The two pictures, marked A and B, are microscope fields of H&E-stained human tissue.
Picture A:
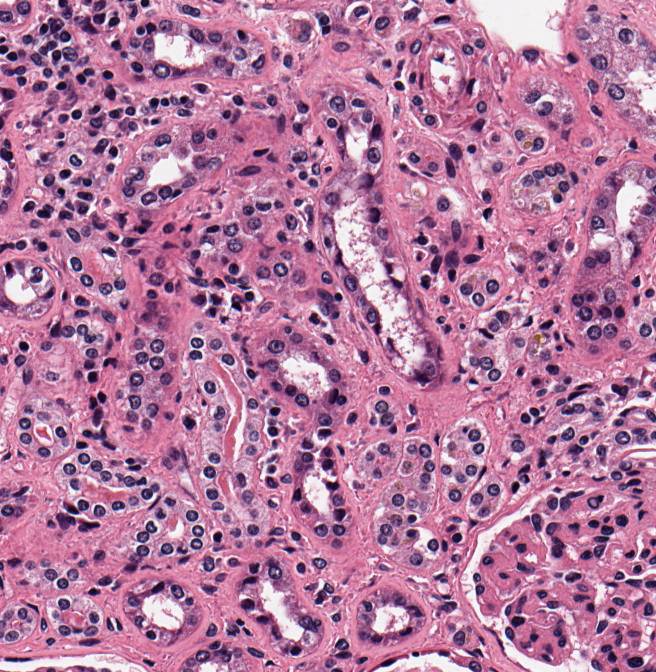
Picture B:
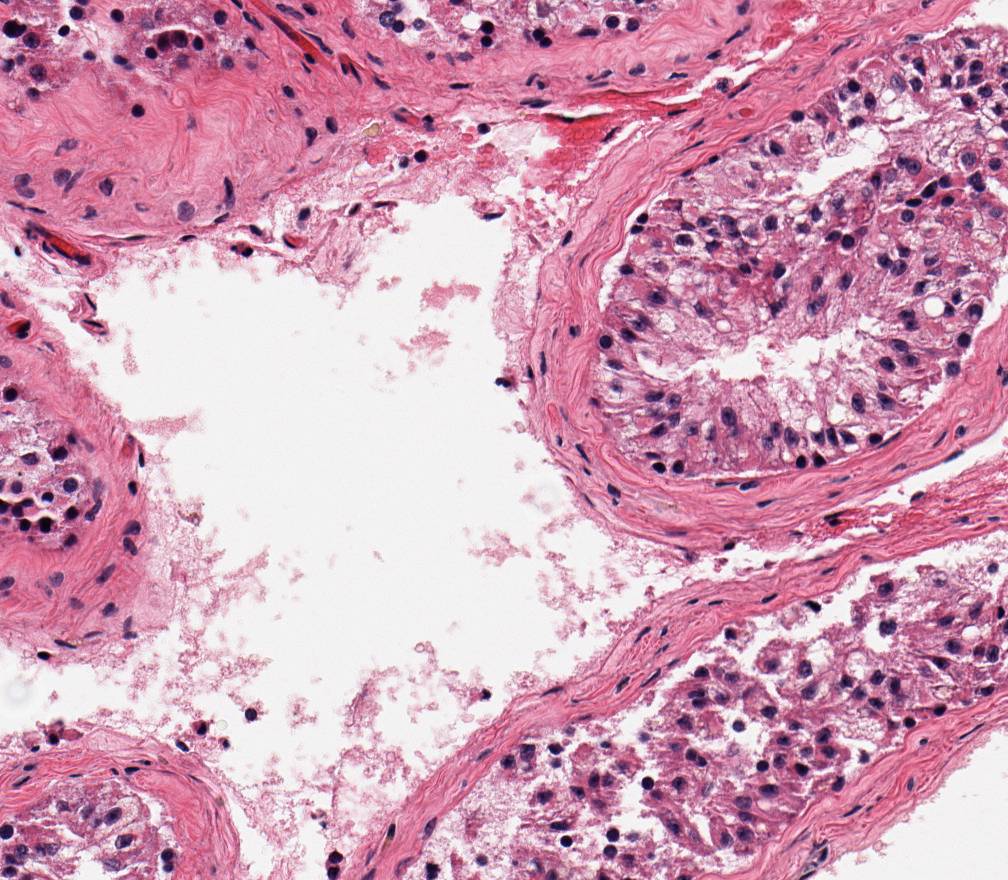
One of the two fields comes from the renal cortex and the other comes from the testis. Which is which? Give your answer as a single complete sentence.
It is picture A that comes from the renal cortex, and picture B that comes from the testis.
